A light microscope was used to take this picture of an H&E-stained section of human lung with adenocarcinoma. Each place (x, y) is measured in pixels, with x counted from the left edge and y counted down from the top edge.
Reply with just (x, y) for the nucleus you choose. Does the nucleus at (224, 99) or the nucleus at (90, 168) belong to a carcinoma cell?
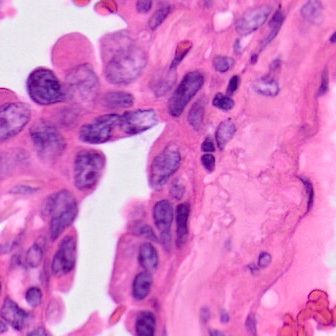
(90, 168)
